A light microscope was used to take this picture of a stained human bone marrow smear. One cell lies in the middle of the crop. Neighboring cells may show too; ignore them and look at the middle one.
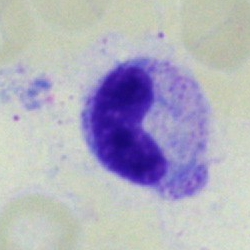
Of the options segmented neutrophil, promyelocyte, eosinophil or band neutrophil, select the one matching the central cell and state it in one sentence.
Of the cells in this crop, the central one is a band neutrophil.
